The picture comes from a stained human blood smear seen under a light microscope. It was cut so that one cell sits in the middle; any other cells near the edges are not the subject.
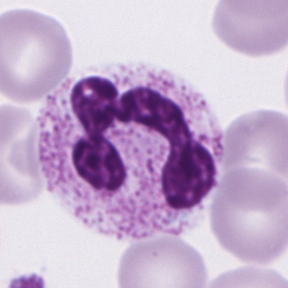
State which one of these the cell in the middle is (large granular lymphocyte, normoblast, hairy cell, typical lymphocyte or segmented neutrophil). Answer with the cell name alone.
segmented neutrophil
